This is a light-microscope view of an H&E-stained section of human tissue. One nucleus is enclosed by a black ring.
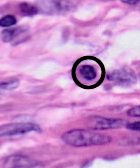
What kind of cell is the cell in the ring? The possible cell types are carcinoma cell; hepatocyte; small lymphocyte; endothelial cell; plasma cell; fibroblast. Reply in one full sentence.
The cell in the ring is a plasma cell.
